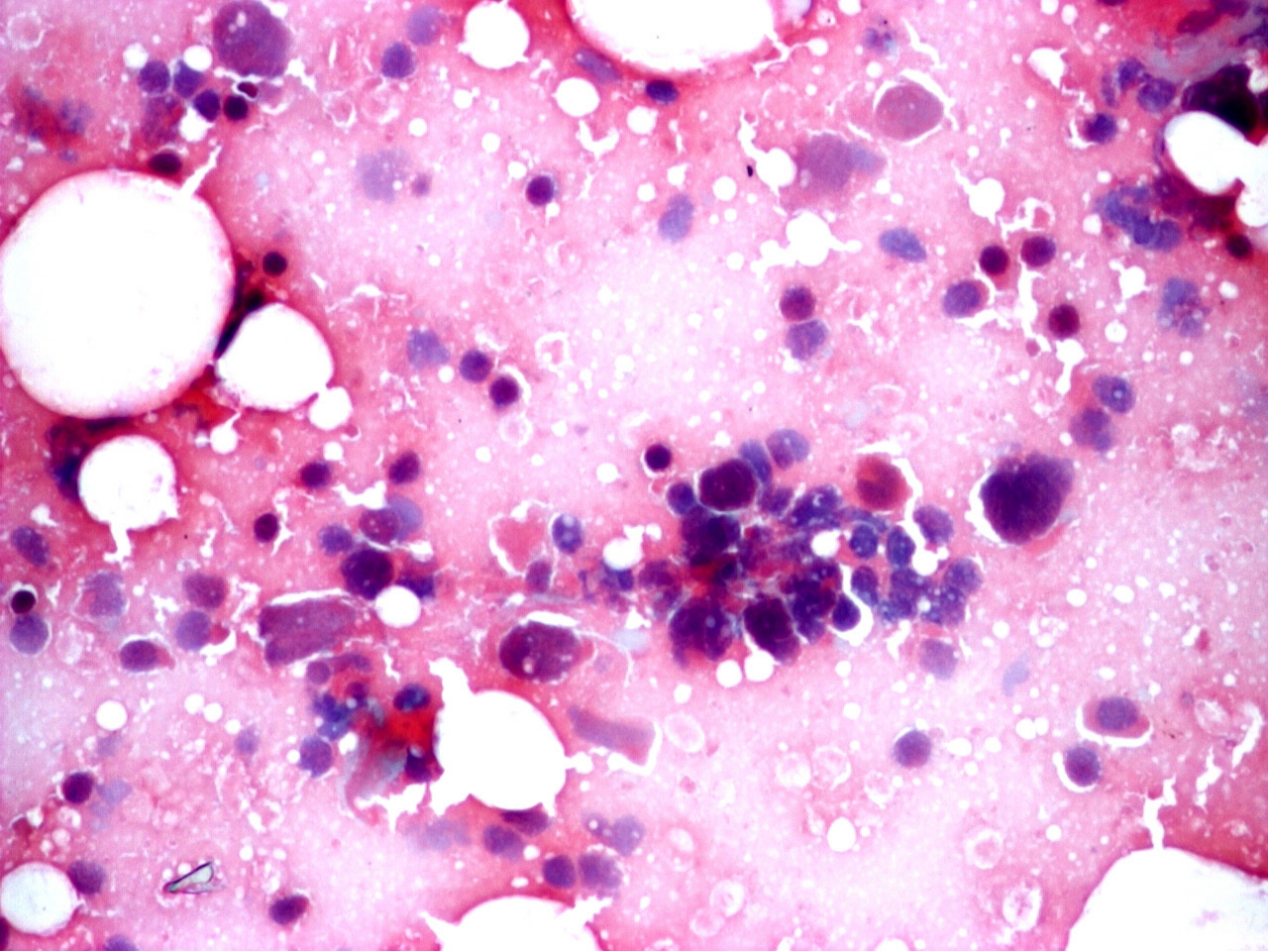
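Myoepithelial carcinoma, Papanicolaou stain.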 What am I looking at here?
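A cellular smear of pleomorphic tumor cells, with a central cohesive cluster of overlapping cells and many isolated cells scattered around it. The nuclei are dark purple and vary considerably in size, some being hyperchromatic and a few notably large, while small round dark cells lie among them. The background is pink with scattered clear vacuoles, large empty round spaces and small reddish areas.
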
